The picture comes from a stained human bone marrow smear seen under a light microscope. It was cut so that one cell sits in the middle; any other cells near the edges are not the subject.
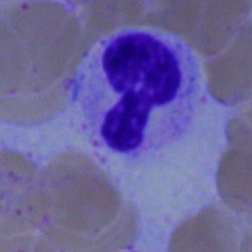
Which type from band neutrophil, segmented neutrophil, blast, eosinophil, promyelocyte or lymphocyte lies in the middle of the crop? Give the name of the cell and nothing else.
segmented neutrophil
